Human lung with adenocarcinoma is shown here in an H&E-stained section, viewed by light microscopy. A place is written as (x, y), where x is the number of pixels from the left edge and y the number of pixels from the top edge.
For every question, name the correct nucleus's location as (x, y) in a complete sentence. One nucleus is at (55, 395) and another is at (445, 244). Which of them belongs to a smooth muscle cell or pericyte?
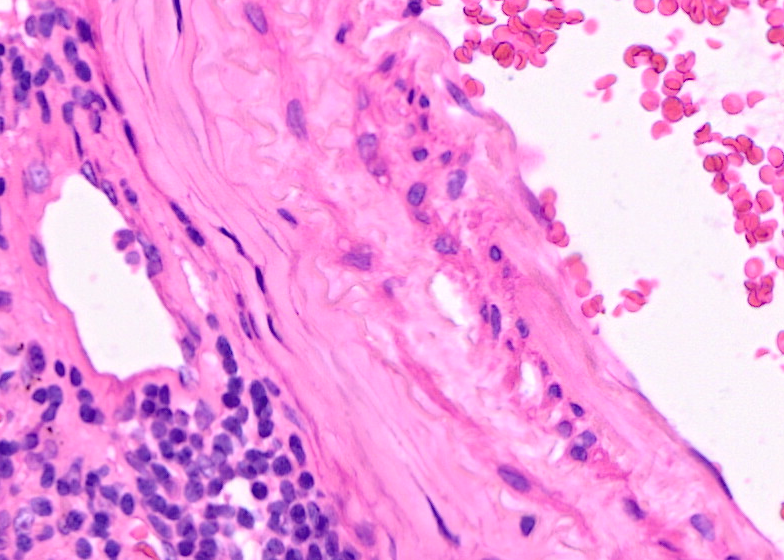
The nucleus at (445, 244) is identified as belonging to a smooth muscle cell or pericyte.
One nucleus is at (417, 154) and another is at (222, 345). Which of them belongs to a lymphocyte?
The nucleus at position (222, 345) belongs to a lymphocyte.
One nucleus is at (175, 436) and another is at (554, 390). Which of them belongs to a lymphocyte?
So, of the two, the nucleus at (175, 436) is the one belonging to a lymphocyte.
